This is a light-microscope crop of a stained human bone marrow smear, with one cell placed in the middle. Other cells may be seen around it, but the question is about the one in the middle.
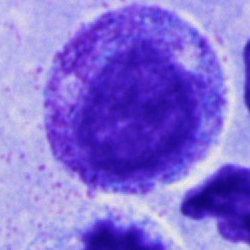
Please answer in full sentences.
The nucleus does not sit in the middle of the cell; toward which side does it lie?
It is shifted toward the bottom of the cell.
